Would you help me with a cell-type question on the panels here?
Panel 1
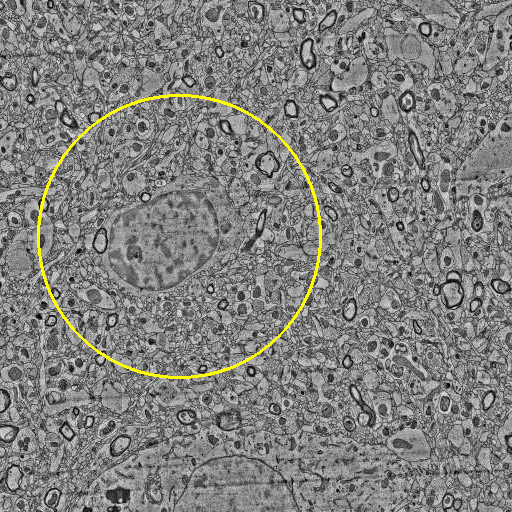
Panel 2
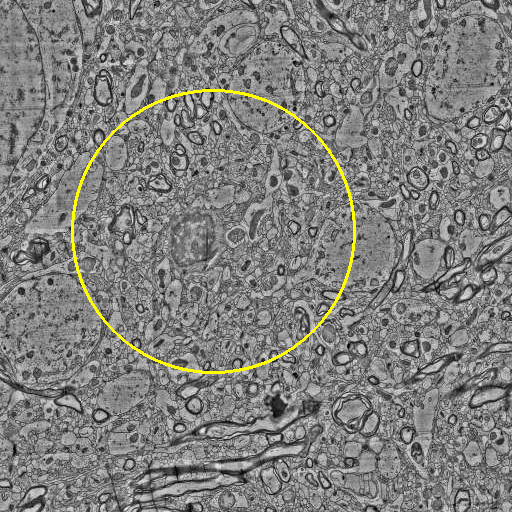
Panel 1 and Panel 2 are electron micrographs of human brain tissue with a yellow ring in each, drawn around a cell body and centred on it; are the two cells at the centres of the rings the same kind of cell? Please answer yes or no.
yes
